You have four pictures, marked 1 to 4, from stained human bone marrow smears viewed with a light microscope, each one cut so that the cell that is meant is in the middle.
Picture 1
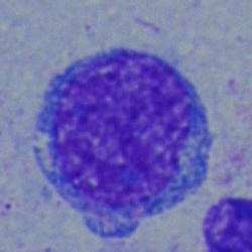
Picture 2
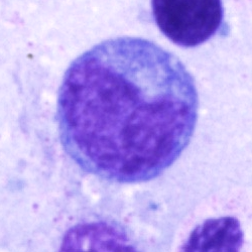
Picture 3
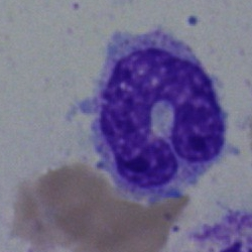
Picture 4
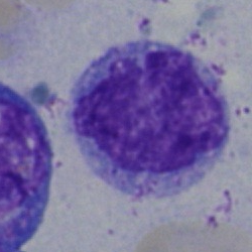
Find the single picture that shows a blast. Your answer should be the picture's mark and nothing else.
1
